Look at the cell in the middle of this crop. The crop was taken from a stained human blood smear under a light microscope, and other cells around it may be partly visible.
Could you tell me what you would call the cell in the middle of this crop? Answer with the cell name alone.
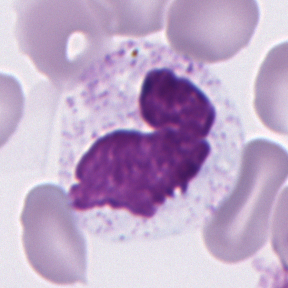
band neutrophil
